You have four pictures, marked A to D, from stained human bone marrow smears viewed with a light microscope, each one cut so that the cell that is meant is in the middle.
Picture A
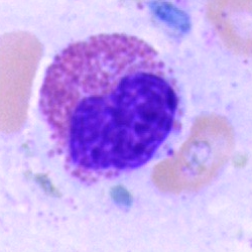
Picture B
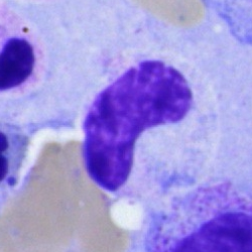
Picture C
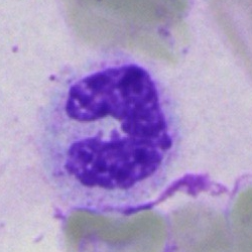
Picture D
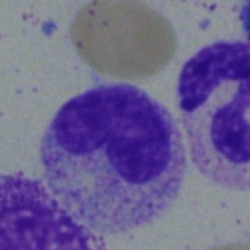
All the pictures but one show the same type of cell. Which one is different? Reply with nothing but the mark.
A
